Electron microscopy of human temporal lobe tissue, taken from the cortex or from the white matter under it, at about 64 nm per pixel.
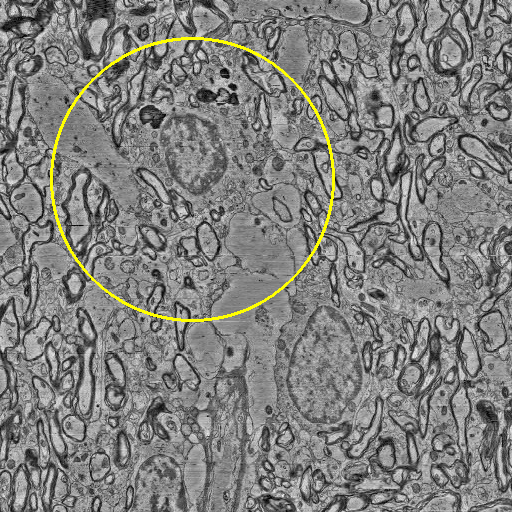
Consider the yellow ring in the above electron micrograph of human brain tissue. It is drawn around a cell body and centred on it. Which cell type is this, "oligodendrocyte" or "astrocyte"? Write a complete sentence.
The cell in question is an oligodendrocyte.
